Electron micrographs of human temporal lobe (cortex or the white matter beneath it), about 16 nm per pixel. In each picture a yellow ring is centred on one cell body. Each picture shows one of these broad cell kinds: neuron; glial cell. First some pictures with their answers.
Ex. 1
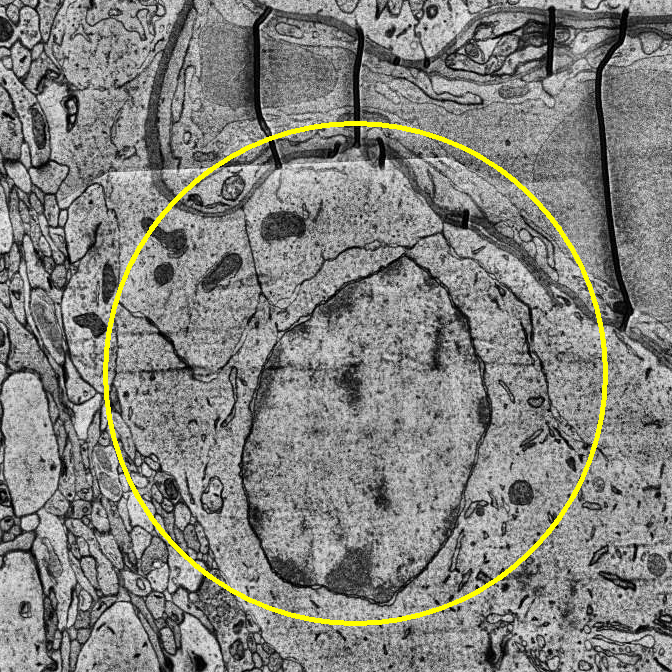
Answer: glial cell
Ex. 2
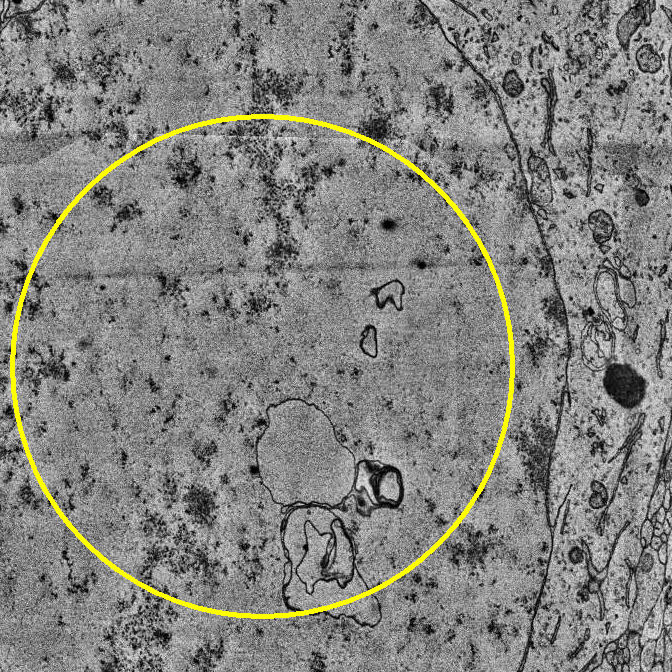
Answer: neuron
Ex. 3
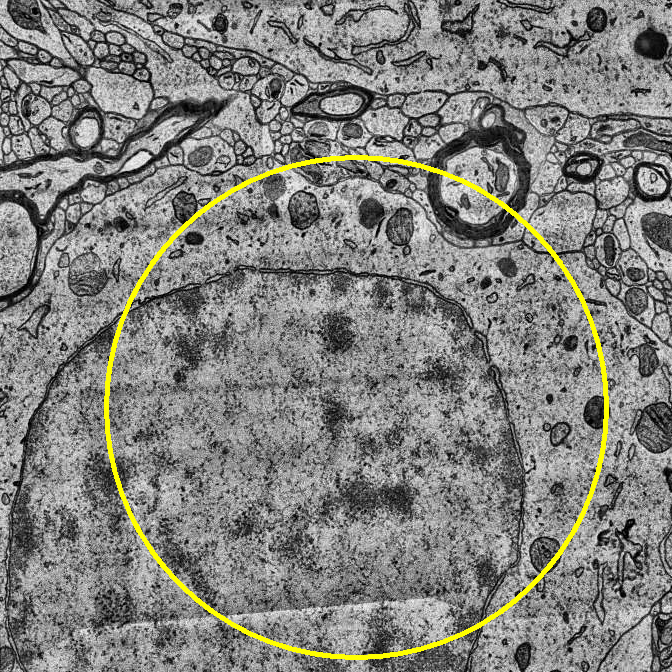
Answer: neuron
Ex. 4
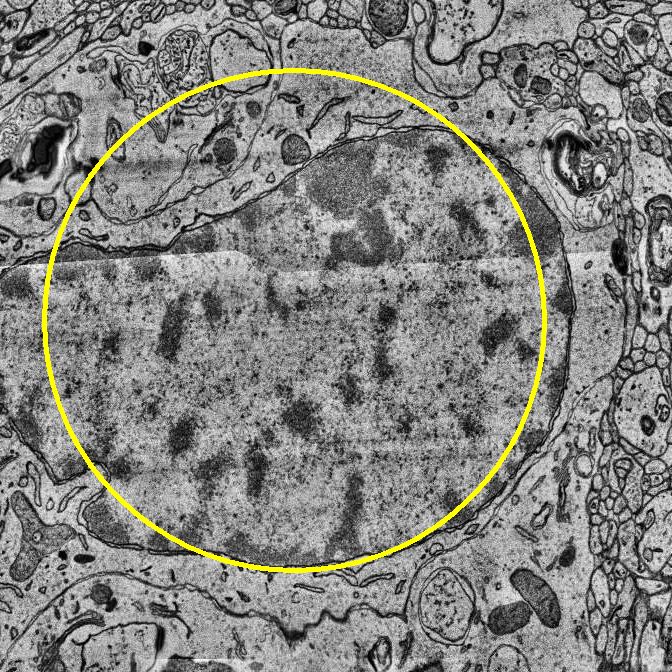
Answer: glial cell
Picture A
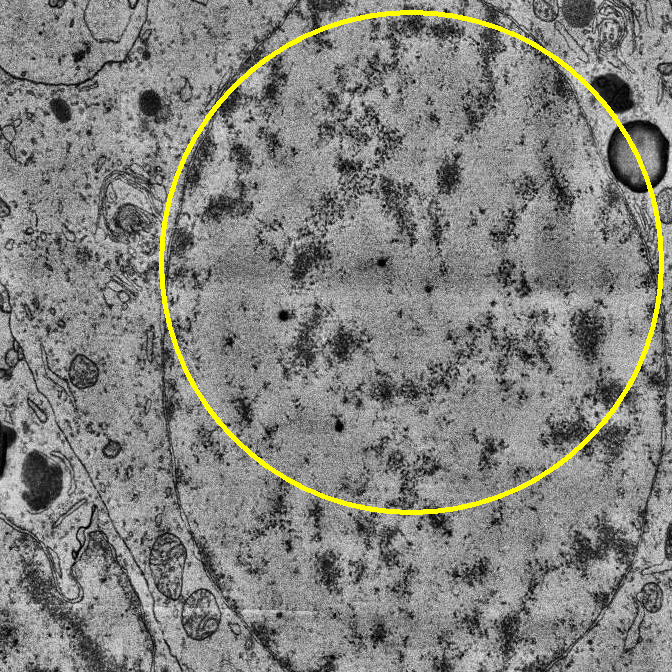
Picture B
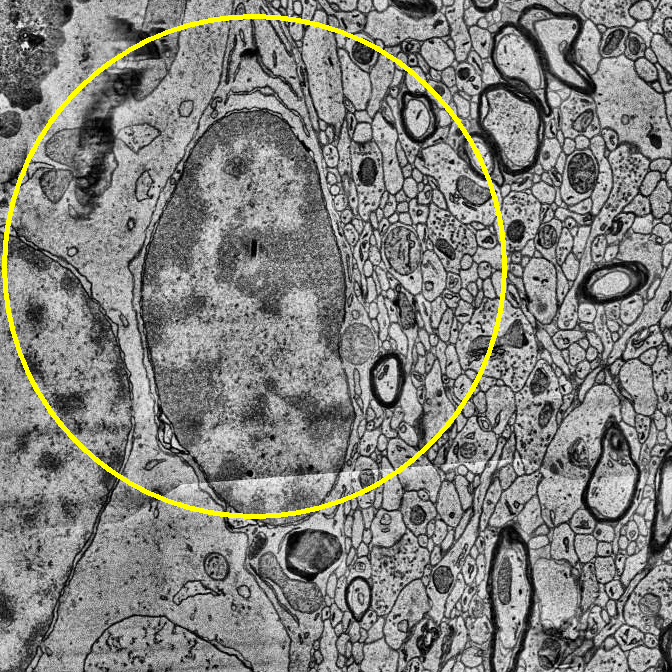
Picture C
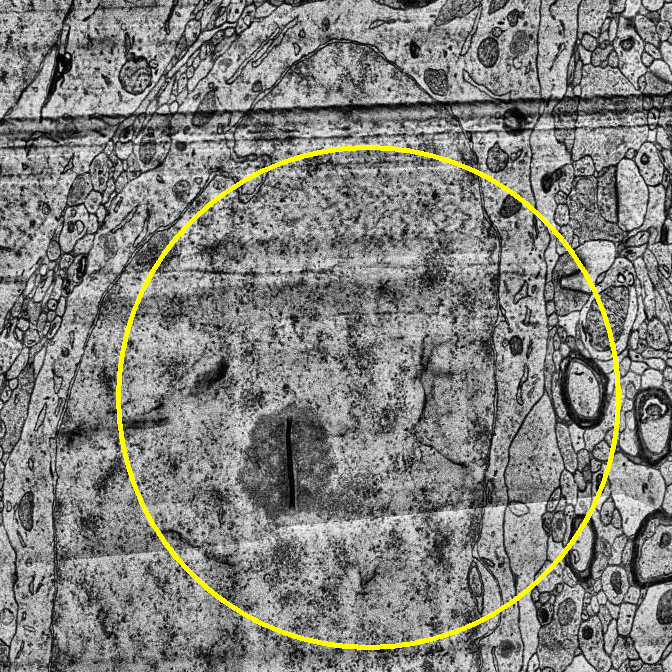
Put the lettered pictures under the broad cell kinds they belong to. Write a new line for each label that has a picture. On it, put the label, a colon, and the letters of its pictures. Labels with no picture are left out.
neuron: A, C
glial cell: B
